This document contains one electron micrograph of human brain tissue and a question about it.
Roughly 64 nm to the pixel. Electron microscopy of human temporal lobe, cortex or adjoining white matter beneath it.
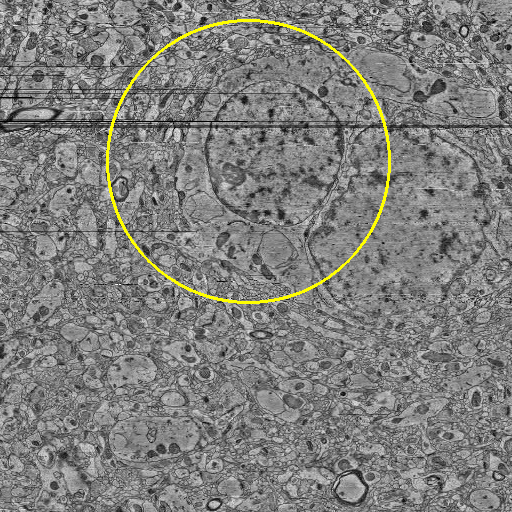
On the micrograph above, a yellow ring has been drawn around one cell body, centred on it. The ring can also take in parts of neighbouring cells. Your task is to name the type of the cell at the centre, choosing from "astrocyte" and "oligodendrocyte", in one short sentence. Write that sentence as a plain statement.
Here the ring is centred on an astrocyte.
